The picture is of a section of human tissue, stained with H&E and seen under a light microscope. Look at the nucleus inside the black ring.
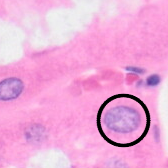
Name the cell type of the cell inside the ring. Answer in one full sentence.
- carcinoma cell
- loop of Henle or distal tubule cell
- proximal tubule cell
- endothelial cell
As for its identity, the cell inside the ring is a proximal tubule cell.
